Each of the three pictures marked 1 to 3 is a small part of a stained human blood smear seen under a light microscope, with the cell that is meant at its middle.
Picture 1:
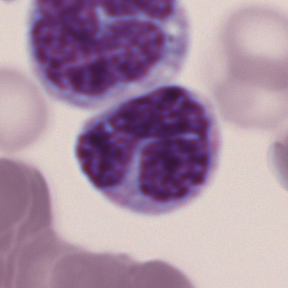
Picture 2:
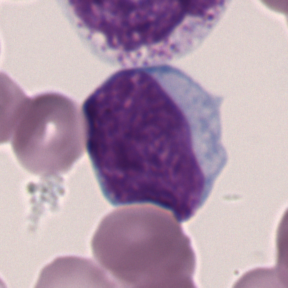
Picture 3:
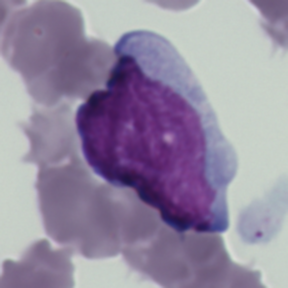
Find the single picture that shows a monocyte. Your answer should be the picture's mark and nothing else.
1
